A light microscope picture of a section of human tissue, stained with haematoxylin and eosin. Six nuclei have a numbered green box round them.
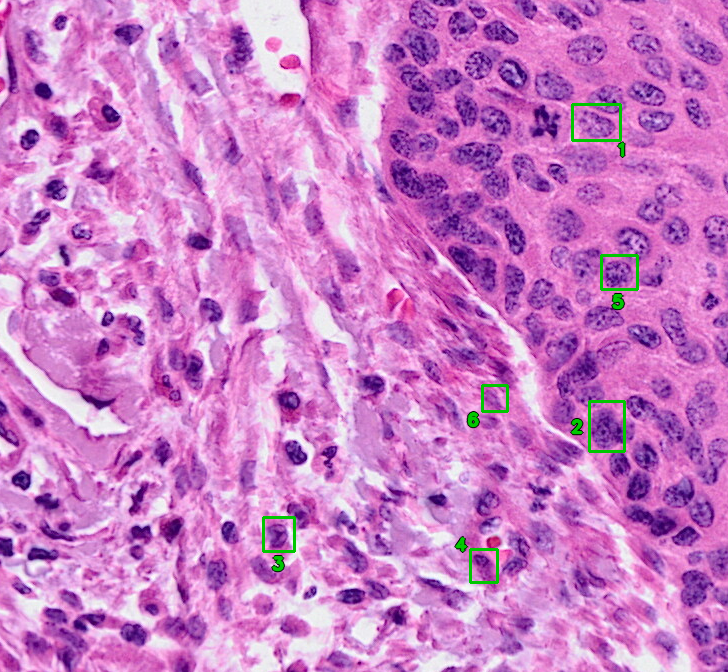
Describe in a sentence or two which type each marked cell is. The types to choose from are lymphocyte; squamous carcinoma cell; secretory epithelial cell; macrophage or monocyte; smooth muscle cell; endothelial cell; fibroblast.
Cells 1, 2 and 5 are squamous carcinoma cells. Cell 3 is a macrophage or monocyte. Cell 4 is an endothelial cell. Cell 6 is a fibroblast.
